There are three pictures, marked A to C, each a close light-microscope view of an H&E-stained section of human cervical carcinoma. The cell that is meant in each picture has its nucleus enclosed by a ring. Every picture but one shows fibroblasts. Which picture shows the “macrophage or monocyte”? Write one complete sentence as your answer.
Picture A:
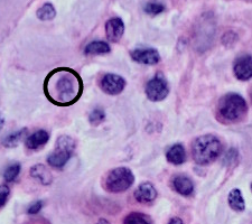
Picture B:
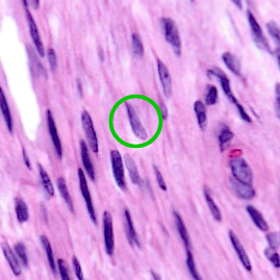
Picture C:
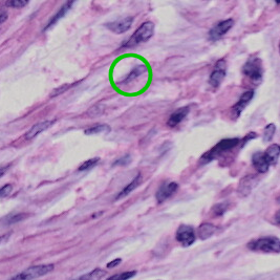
The cell in picture A is the “macrophage or monocyte”.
